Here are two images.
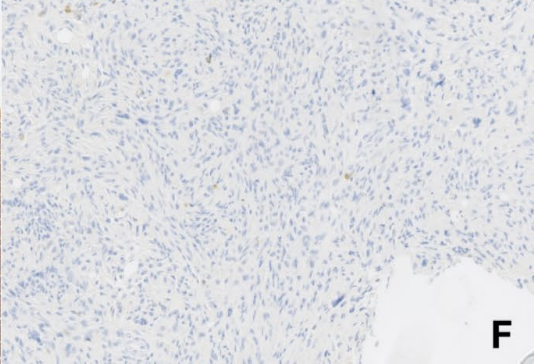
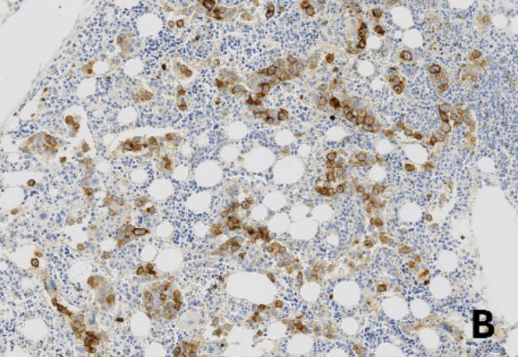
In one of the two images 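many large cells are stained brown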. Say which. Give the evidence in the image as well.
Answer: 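Second image: clusters of large cells are stained brown among blue marrow cells.
The second image.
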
